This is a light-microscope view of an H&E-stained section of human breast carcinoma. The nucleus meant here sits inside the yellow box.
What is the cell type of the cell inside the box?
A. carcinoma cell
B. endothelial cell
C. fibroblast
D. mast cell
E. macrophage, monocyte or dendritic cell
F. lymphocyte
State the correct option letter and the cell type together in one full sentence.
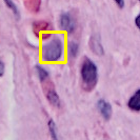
Option B is the one that fits, as the cell inside the box is an endothelial cell.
